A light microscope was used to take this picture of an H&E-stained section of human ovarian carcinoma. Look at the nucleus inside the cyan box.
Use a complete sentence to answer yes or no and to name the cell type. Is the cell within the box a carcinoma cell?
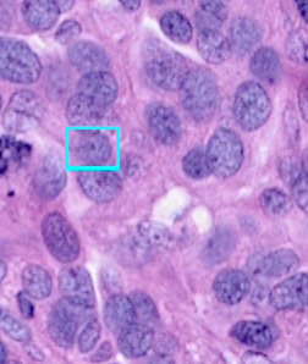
Yes, in terms of cell type, the cell within the box is a carcinoma cell.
